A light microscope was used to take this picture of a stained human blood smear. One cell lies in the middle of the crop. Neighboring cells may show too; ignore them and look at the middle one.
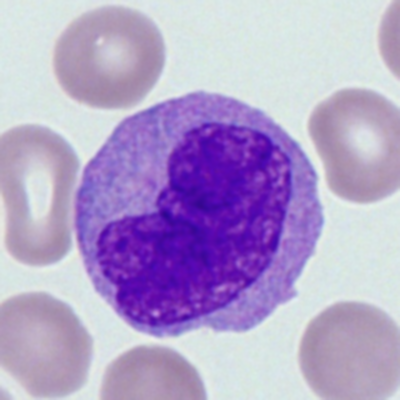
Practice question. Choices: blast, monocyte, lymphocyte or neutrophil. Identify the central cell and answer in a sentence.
The cell at the heart of this crop is a monocyte.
